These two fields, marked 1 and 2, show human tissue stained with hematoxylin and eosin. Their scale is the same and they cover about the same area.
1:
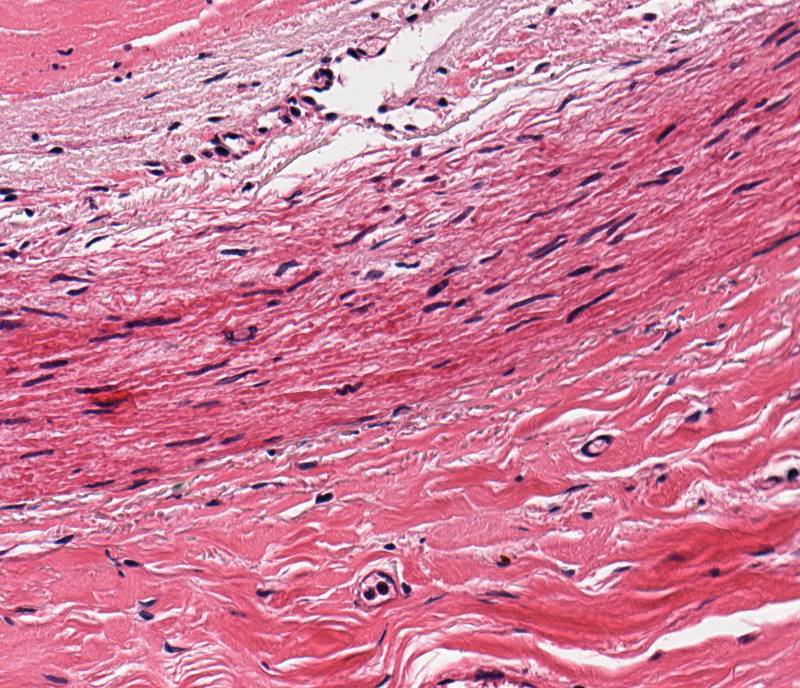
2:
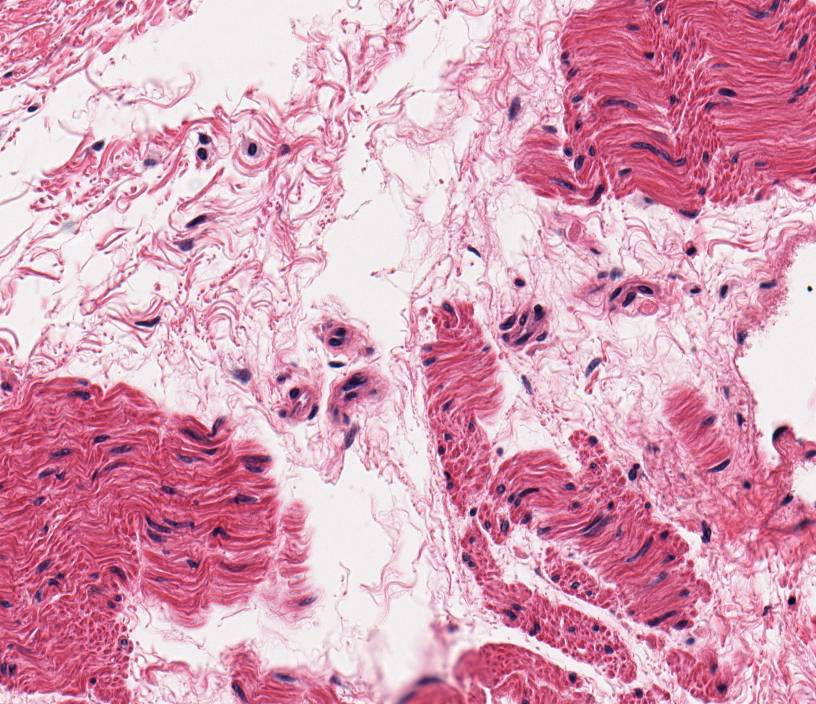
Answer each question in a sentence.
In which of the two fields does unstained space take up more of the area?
Field 2 has more white space.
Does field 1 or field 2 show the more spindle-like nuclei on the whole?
It is field 1 whose nuclei are the more elongated.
